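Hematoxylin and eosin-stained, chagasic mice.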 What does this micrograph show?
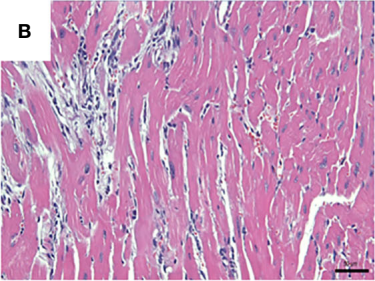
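Heart muscle with inflammatory cells lying between the cardiac muscle fibres. The fibres are stained pink, elongated and run in roughly parallel bundles, some appearing wavy and separated by narrow gaps. Elsewhere the fibres carry scattered oval nuclei, and a few clear spaces and small vessels with red blood cells are visible between bundles.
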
